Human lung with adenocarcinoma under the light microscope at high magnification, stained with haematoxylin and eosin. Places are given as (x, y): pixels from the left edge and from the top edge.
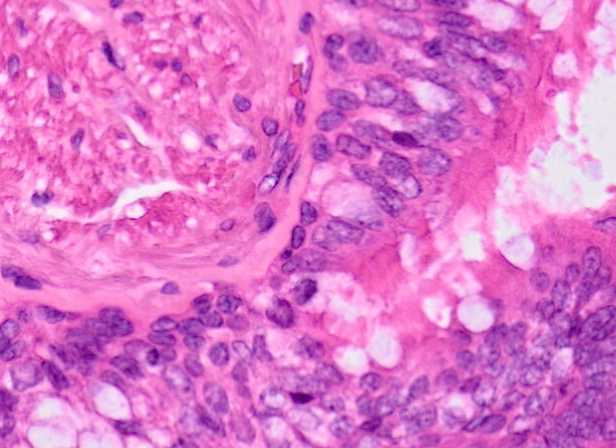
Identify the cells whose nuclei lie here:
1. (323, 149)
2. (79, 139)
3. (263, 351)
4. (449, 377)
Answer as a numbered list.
1. ciliated epithelial cell
2. smooth muscle cell or pericyte
3. ciliated epithelial cell
4. ciliated epithelial cell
